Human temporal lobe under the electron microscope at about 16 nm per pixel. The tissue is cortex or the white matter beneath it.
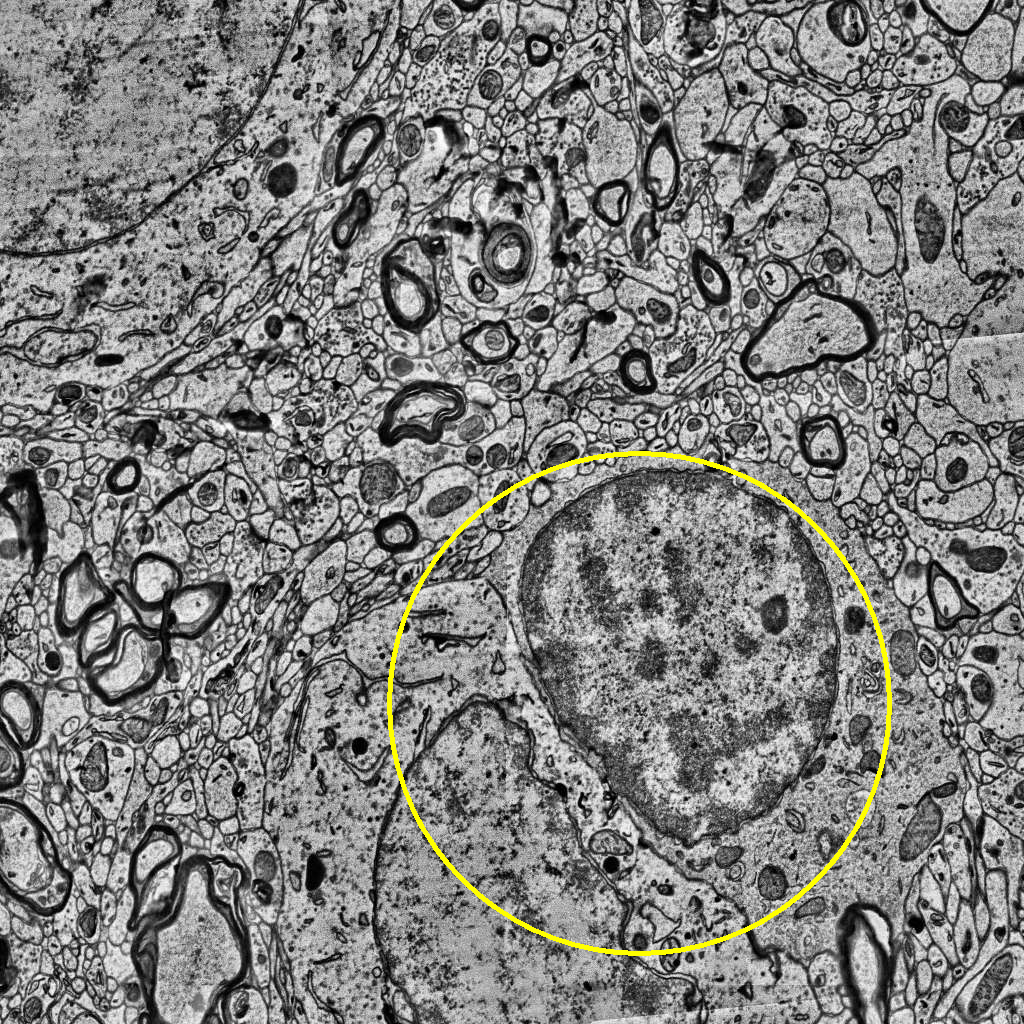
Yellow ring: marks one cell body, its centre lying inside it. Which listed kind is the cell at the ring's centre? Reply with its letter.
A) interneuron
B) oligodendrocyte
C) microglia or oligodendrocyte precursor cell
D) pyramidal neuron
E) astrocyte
B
